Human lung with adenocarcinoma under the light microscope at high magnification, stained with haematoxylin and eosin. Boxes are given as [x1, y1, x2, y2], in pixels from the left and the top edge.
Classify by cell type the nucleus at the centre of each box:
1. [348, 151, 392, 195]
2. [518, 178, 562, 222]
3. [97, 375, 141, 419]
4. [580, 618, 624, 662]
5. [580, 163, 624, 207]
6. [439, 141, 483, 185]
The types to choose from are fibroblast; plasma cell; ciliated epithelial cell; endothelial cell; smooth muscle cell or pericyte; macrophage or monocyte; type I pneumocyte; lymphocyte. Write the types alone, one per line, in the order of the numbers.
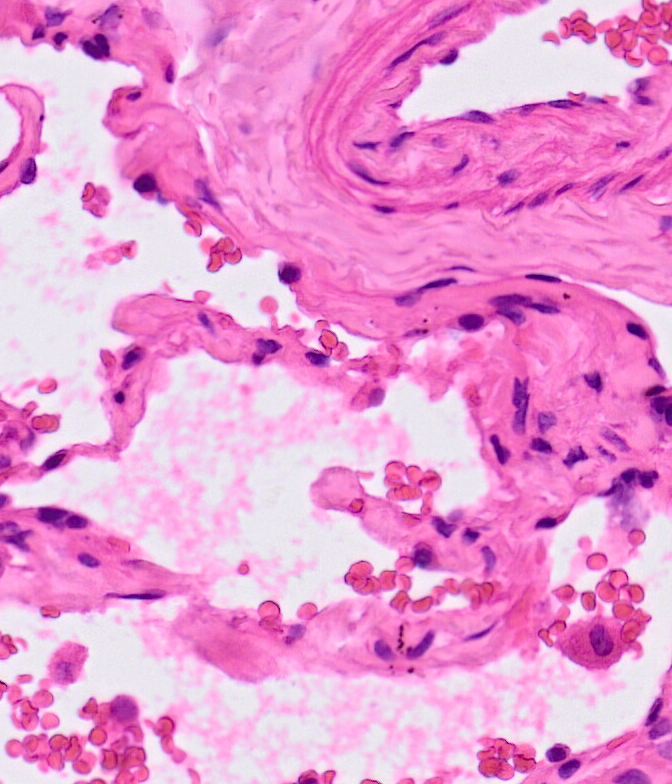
smooth muscle cell or pericyte
smooth muscle cell or pericyte
endothelial cell
macrophage or monocyte
smooth muscle cell or pericyte
smooth muscle cell or pericyte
